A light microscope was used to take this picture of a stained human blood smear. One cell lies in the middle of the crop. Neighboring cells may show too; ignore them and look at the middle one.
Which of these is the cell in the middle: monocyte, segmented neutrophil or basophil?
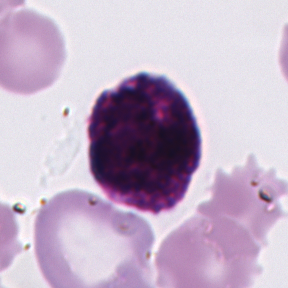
basophil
